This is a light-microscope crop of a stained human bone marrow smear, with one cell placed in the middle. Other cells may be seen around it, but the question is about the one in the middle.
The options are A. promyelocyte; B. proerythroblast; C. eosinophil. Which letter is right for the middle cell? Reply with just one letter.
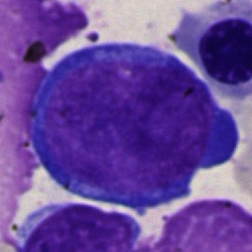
B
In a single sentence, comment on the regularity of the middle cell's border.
Instead of a smooth edge, this cell has an irregular one, ragged or with projections.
